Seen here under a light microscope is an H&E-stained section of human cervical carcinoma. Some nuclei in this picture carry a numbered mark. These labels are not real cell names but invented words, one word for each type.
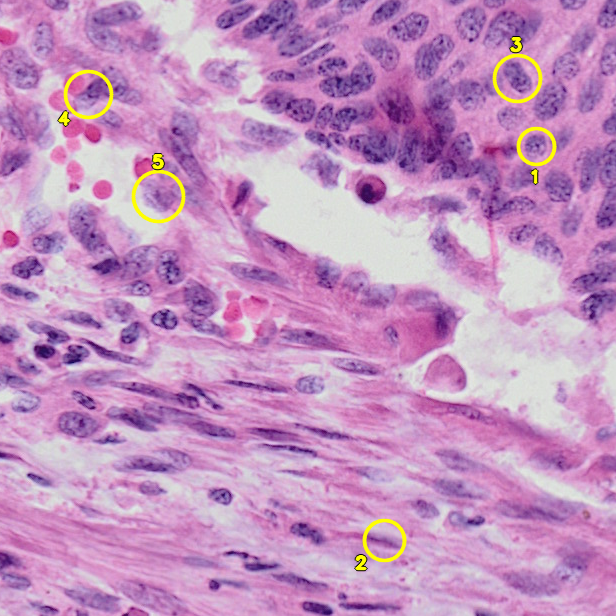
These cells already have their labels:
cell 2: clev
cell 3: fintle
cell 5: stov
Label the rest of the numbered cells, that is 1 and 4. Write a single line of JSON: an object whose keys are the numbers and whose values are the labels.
{"1": "fintle", "4": "stov"}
